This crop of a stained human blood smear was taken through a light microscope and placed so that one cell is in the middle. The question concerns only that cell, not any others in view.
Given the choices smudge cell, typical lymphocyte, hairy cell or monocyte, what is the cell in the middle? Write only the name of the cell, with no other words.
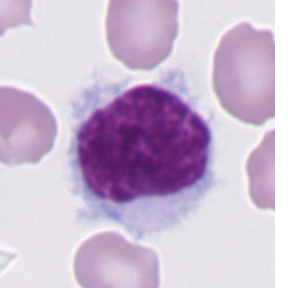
hairy cell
